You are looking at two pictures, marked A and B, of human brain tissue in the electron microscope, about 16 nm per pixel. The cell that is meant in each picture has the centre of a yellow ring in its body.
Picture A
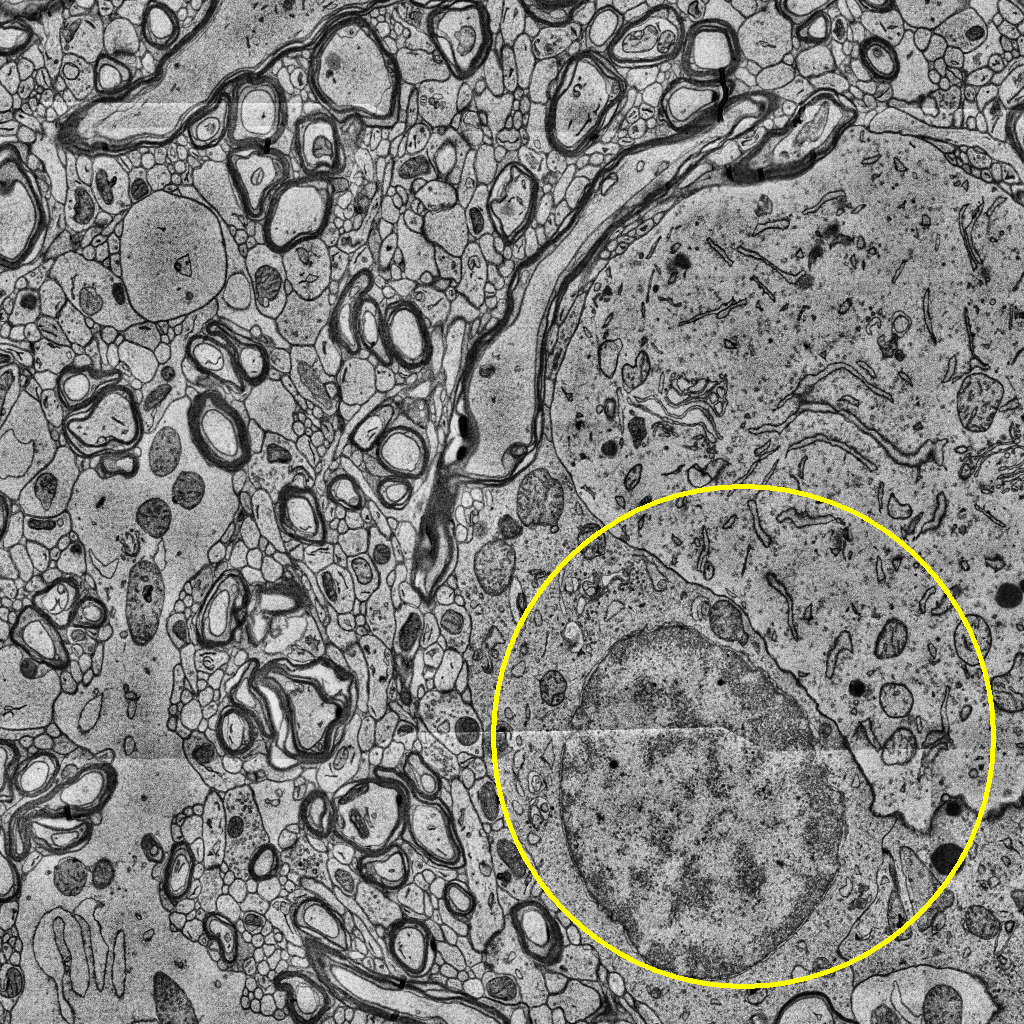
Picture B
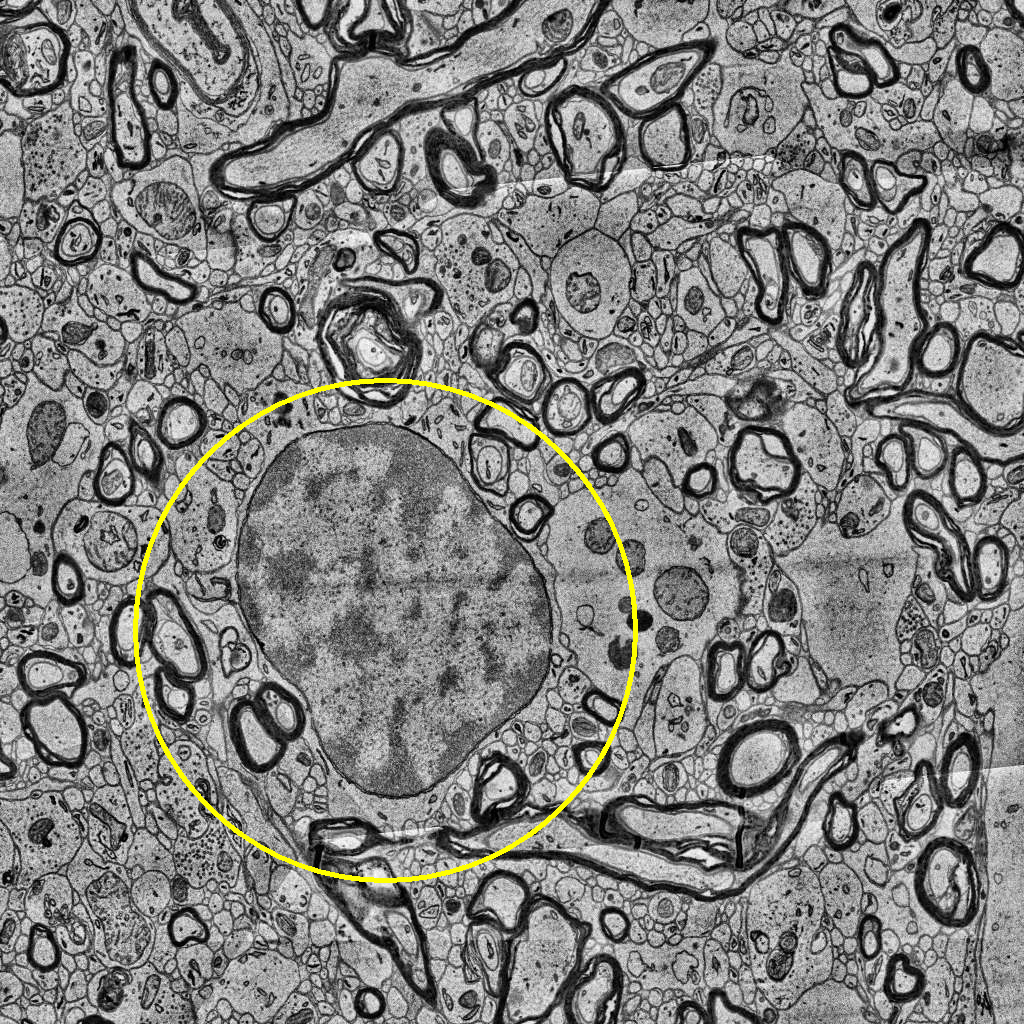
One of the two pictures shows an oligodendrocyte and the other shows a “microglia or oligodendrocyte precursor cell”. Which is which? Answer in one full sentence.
In picture A the cell is an oligodendrocyte; in picture B, a “microglia or oligodendrocyte precursor cell”.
